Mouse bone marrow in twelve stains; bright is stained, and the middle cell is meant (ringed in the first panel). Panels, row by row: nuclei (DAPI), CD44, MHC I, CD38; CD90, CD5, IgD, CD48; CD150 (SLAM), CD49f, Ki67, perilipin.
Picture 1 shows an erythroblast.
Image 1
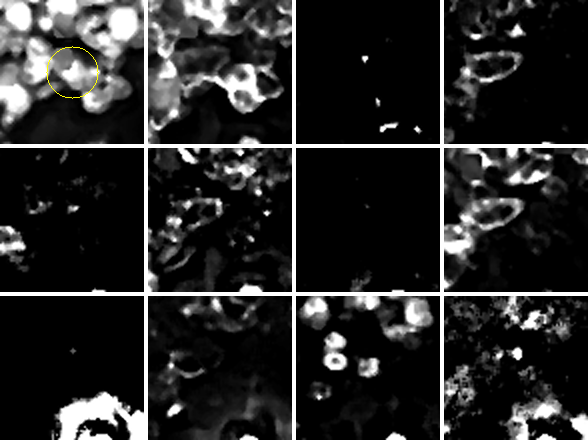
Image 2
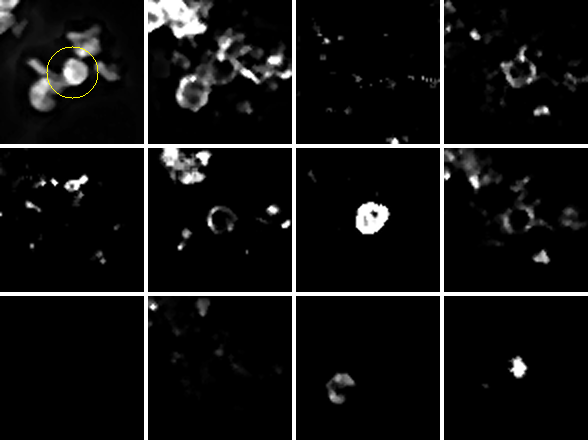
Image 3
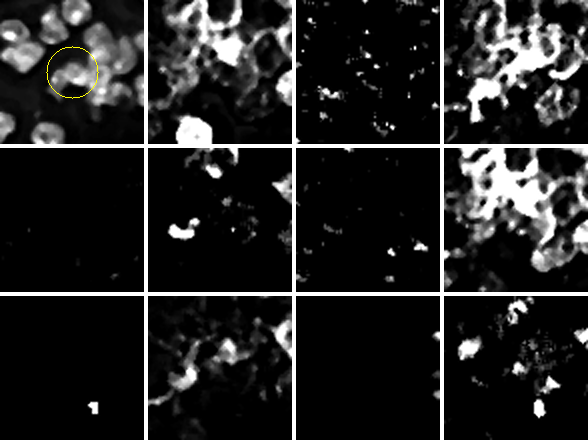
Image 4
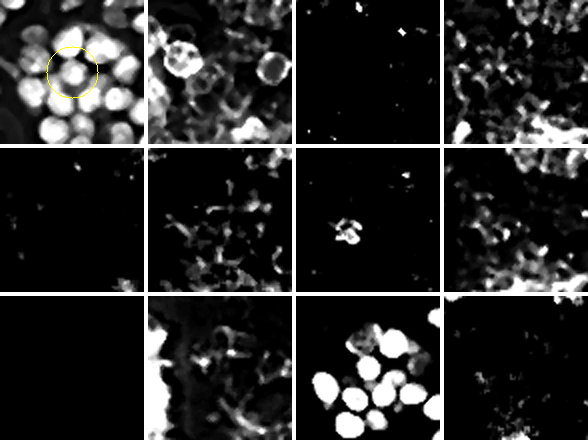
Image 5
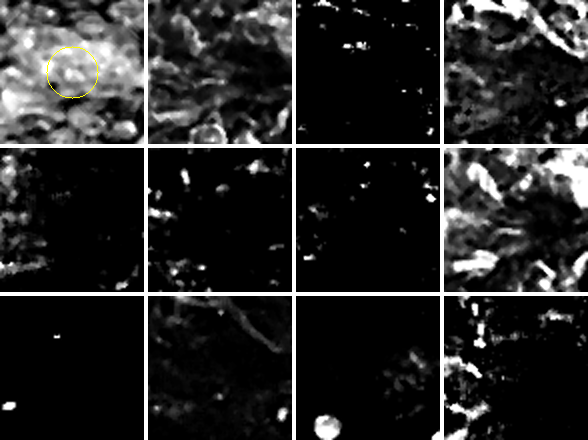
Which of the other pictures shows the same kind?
Picture 4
